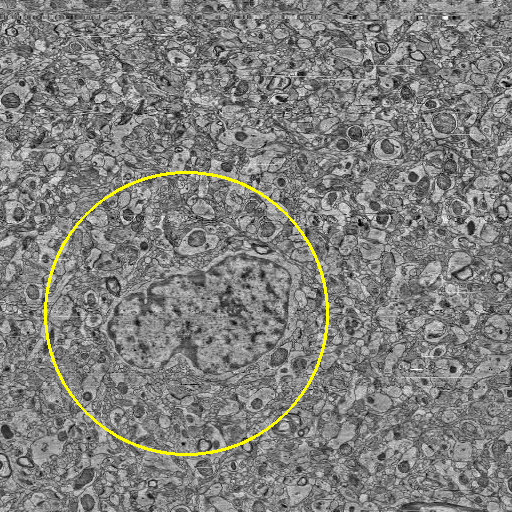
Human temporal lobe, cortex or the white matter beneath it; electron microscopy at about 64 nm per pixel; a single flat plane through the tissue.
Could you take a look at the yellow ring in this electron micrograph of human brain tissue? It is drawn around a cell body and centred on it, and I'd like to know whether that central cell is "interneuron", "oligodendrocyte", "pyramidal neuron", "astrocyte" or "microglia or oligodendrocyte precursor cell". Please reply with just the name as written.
microglia or oligodendrocyte precursor cell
